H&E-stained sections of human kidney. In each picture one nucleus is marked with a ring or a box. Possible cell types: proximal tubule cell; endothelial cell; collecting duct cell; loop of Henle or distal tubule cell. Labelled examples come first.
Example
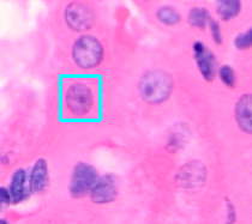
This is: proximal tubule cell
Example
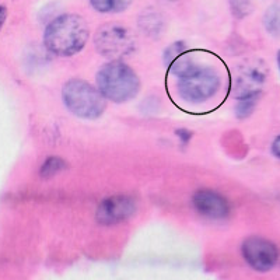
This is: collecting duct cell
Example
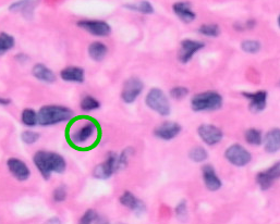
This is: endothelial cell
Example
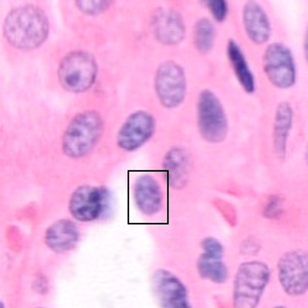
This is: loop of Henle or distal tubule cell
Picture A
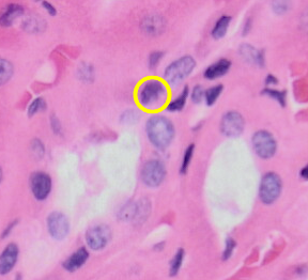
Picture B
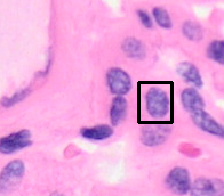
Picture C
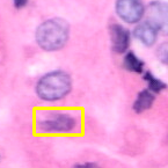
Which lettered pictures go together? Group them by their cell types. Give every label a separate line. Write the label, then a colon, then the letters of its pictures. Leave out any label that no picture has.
proximal tubule cell: C
collecting duct cell: A, B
